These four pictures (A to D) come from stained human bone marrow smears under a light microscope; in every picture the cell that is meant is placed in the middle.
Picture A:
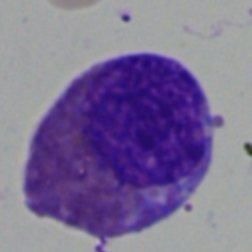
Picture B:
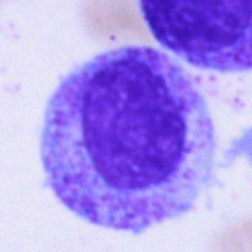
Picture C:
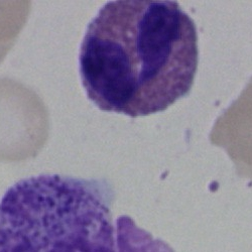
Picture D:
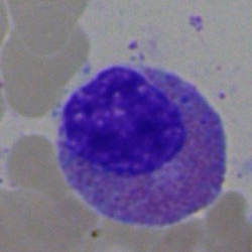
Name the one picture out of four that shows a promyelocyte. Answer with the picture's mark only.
B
